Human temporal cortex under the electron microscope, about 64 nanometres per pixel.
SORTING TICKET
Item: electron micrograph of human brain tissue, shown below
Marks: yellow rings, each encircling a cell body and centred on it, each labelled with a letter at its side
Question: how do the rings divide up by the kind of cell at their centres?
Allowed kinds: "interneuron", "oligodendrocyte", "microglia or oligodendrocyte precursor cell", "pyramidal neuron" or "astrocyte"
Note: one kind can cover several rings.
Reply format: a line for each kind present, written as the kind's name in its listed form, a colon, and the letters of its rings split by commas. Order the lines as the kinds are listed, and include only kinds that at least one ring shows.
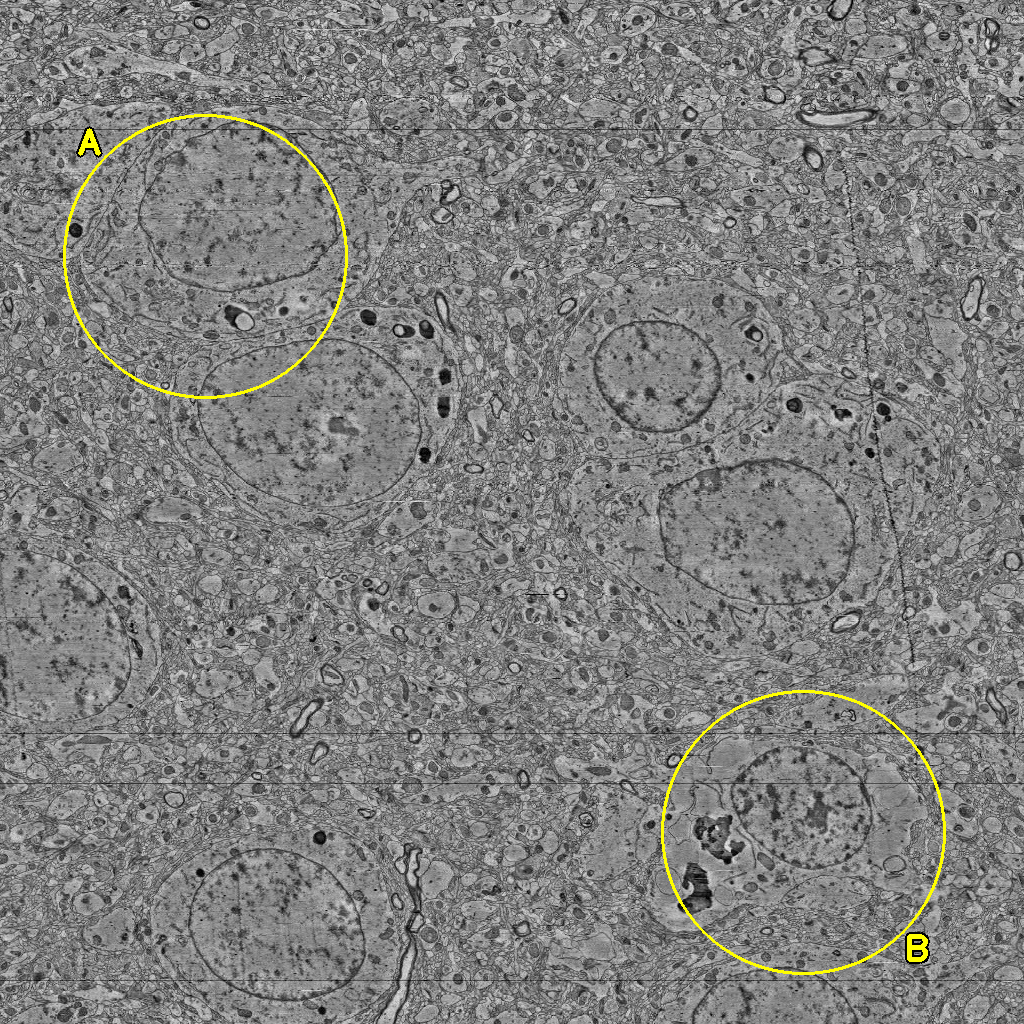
pyramidal neuron: A
astrocyte: B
